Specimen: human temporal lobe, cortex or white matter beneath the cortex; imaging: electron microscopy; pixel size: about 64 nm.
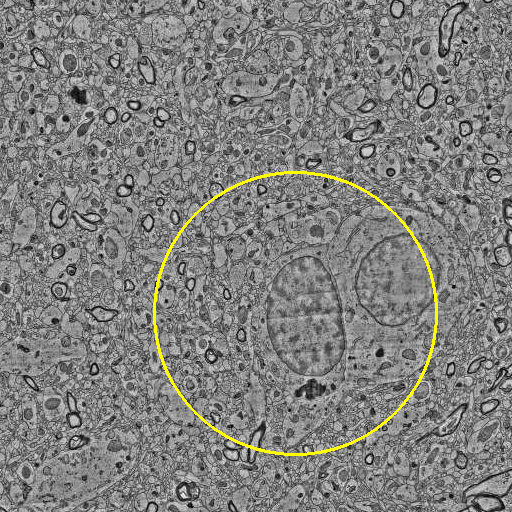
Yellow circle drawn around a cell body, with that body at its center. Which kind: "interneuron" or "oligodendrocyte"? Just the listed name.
oligodendrocyte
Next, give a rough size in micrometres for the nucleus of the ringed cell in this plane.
Roughly 8 micrometres by 5 micrometres, so the nucleus is clearly longer than it is wide in this plane.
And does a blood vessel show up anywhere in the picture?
No, none is visible.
